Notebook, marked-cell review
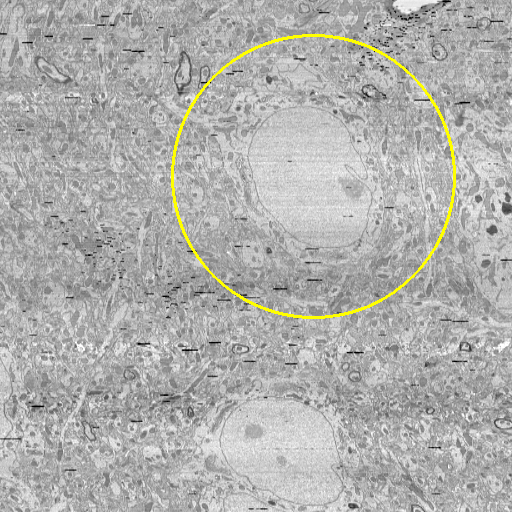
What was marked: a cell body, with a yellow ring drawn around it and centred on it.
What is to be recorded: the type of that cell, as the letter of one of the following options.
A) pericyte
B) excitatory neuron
B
